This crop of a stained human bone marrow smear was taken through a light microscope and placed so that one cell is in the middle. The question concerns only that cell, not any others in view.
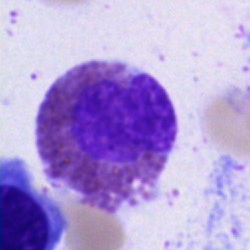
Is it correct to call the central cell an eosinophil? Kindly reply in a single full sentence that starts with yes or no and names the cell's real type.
Yes, the cell in the exact middle is an eosinophil.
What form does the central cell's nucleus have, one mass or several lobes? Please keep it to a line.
A single compact nucleus, round, oval or kidney-shaped, is what this cell shows.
